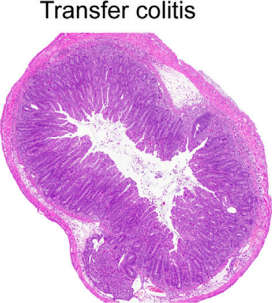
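A cross-section of colon in which the mucosa is markedly thickened and occupies most of the section around an irregular central lumen. A thin pink outer wall surrounds the thickened mucosa.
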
